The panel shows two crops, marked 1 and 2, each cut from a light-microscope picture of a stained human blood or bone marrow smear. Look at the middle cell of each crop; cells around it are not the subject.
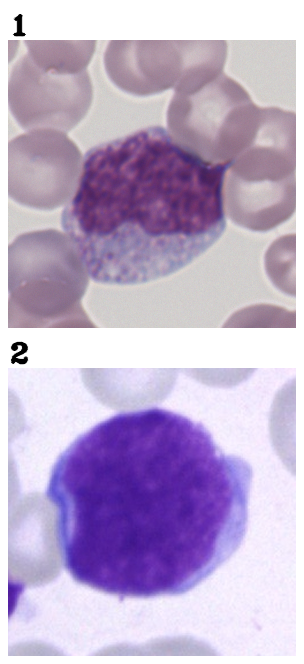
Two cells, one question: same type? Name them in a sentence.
No, a myelocyte is in crop 1, and a blast is in crop 2.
